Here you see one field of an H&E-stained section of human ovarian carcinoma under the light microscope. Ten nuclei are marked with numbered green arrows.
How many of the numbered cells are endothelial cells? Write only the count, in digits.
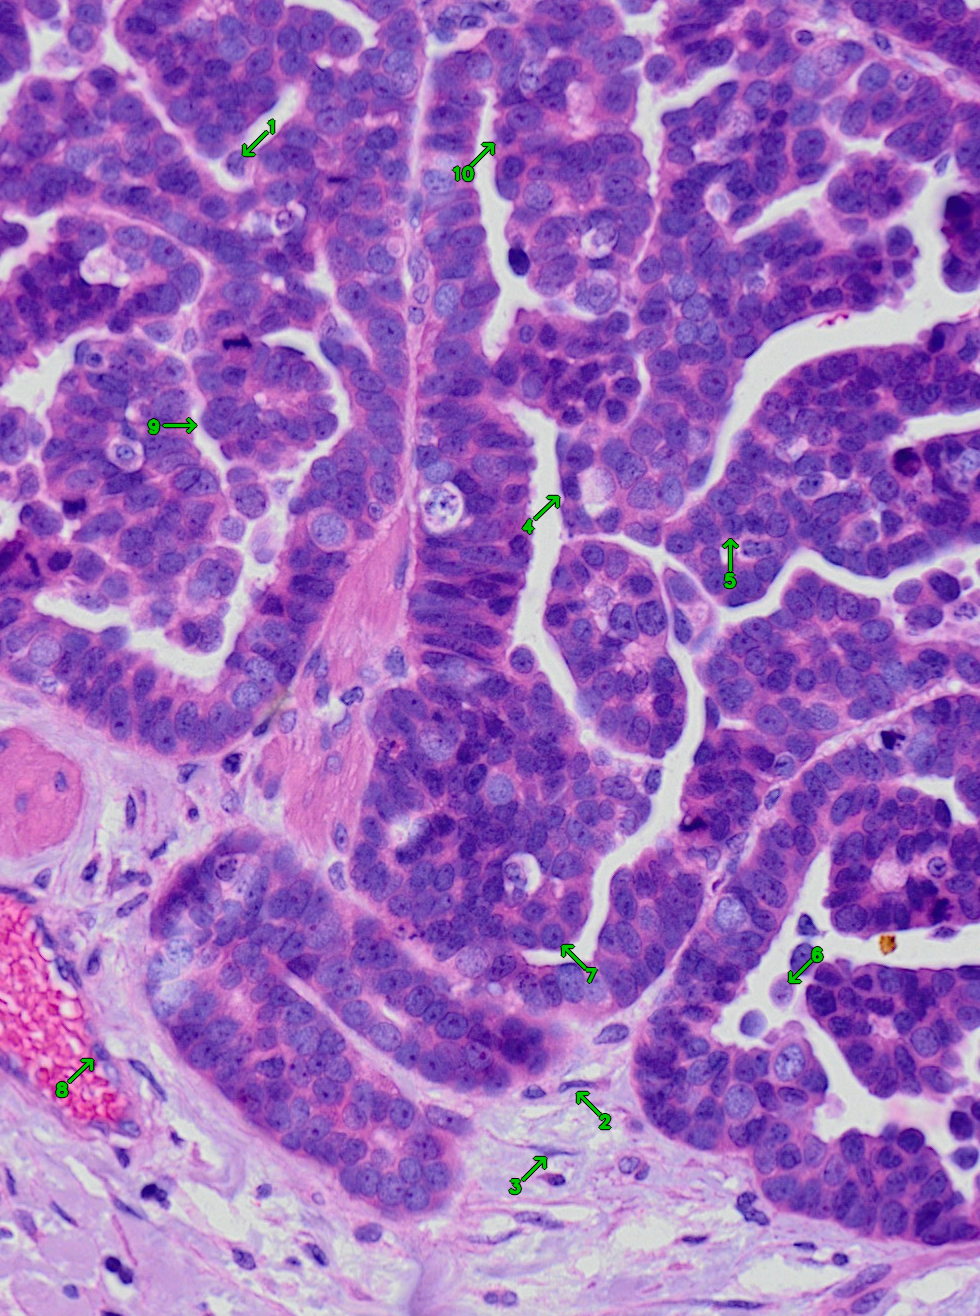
1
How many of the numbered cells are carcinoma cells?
6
